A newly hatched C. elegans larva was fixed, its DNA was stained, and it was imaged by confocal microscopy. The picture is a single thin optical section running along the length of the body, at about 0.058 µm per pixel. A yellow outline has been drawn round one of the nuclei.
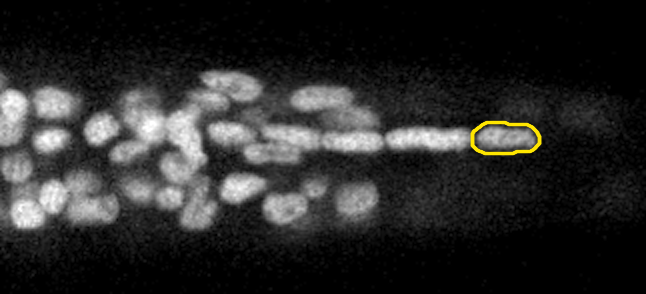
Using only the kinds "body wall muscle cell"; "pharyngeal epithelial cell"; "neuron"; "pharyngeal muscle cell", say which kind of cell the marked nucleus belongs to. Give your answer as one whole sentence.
The nucleus comes from a pharyngeal epithelial cell.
